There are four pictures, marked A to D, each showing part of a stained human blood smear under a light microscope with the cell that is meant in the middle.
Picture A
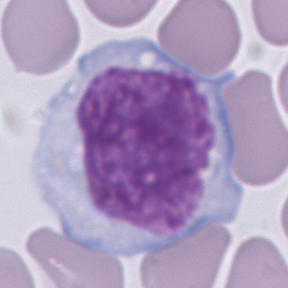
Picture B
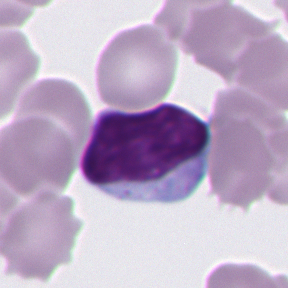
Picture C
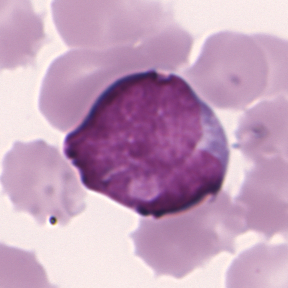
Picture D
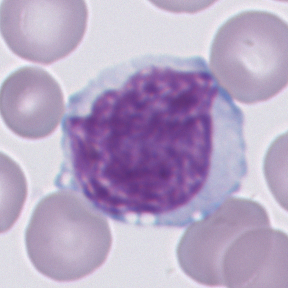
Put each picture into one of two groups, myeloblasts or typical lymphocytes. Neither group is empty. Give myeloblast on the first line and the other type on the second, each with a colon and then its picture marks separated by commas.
myeloblast: A, C, D
typical lymphocyte: B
